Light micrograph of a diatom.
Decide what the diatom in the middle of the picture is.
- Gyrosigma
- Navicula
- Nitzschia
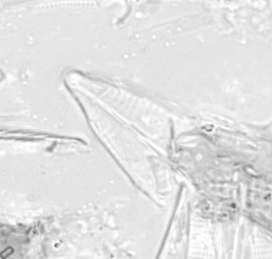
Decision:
Navicula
